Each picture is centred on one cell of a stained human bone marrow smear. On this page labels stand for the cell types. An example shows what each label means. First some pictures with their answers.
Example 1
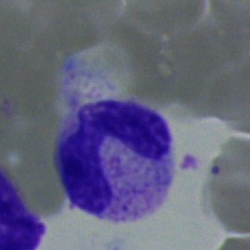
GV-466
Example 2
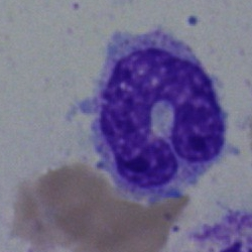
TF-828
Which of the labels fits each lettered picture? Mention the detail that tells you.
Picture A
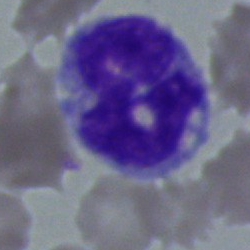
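TF-828. The nucleus fills most of the cell.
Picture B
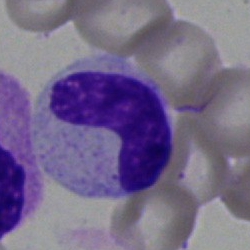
GV-466. The cytoplasm is plentiful and pale greyish-blue.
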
